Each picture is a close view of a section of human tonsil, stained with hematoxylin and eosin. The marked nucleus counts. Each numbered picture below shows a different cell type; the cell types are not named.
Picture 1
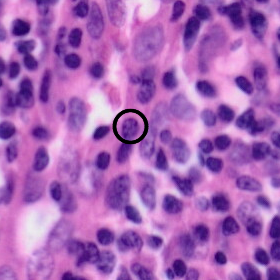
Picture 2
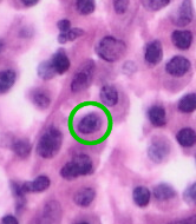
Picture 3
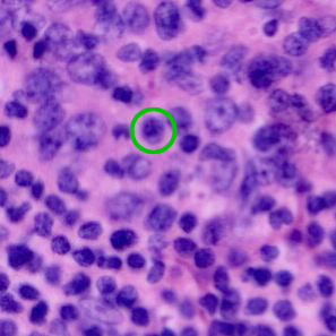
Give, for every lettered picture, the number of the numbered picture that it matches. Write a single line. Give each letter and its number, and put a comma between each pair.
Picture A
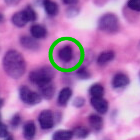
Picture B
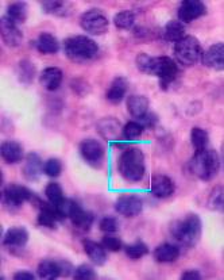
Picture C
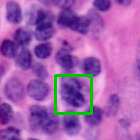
A 1, B 3, C 3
